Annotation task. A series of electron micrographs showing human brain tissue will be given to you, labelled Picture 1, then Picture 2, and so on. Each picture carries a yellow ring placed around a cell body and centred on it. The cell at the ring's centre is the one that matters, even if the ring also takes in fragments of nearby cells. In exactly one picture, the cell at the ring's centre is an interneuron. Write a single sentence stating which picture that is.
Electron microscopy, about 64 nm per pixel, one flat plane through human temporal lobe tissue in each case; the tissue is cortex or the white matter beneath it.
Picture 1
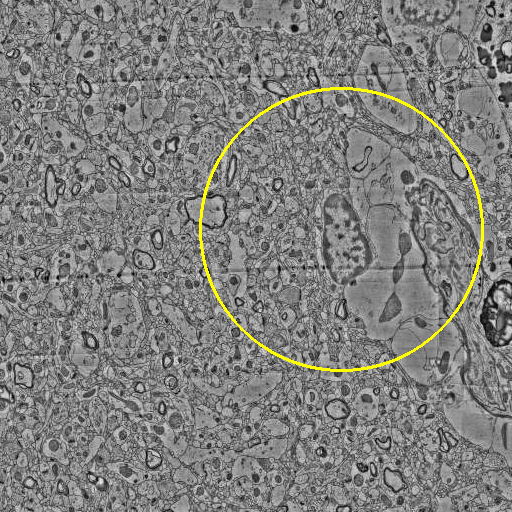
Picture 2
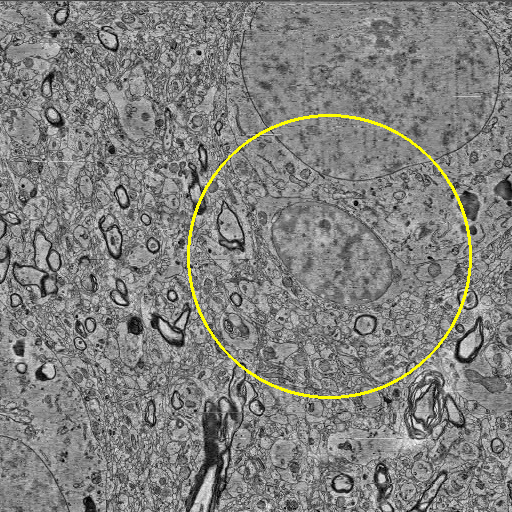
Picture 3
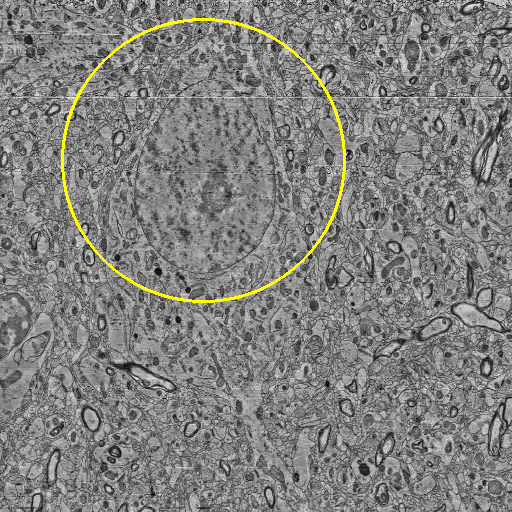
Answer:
Picture 3 holds the requested cell at the very centre of its ring.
